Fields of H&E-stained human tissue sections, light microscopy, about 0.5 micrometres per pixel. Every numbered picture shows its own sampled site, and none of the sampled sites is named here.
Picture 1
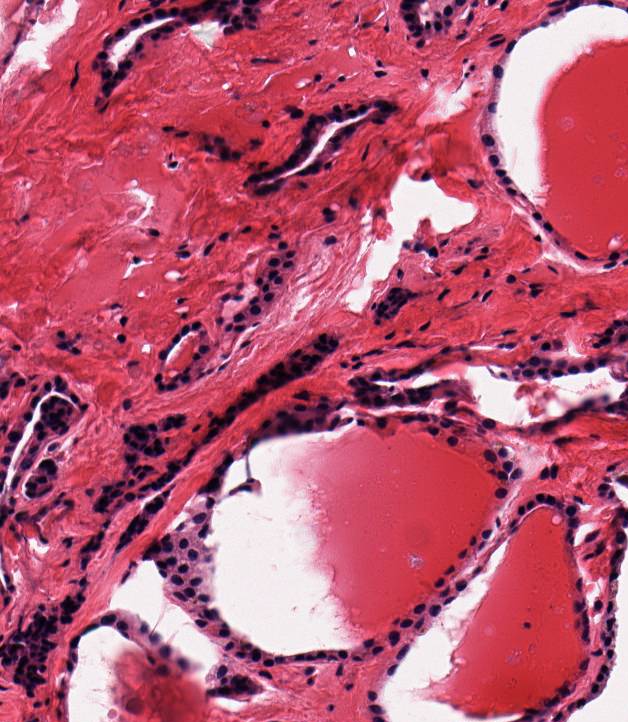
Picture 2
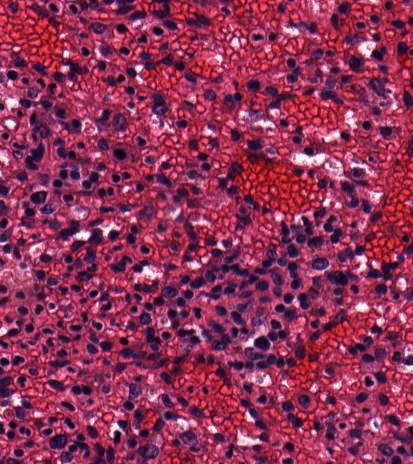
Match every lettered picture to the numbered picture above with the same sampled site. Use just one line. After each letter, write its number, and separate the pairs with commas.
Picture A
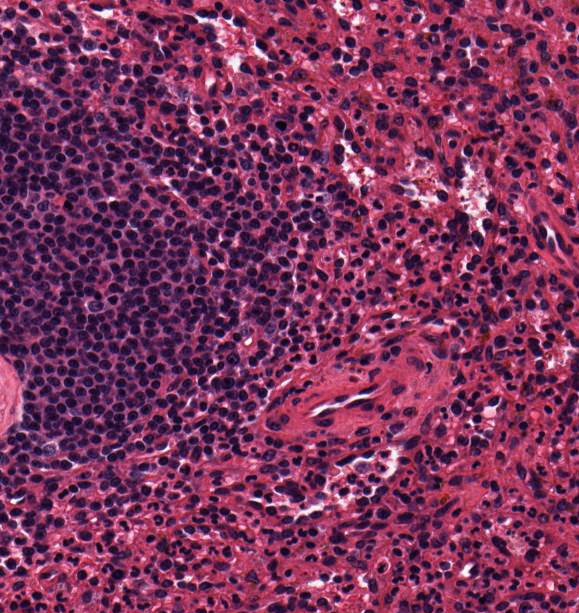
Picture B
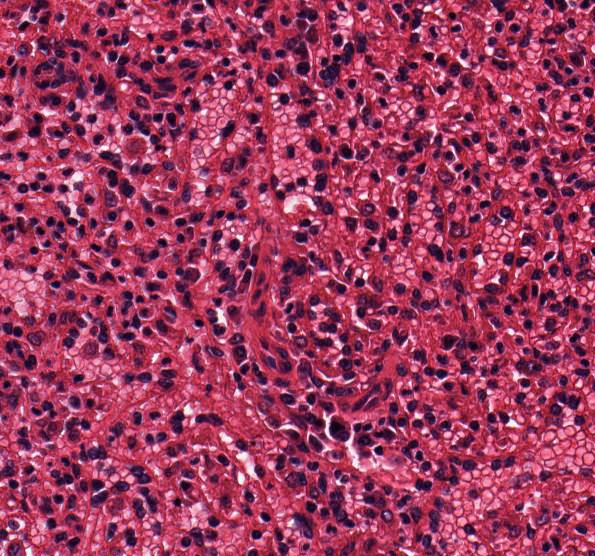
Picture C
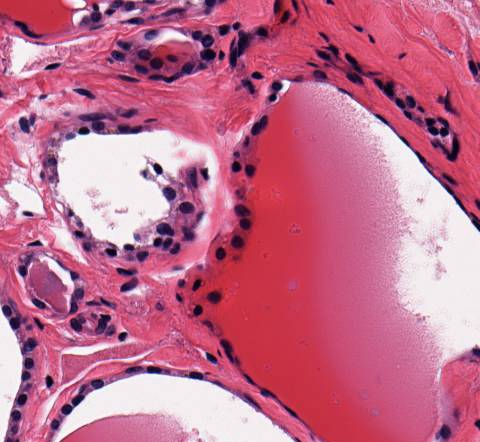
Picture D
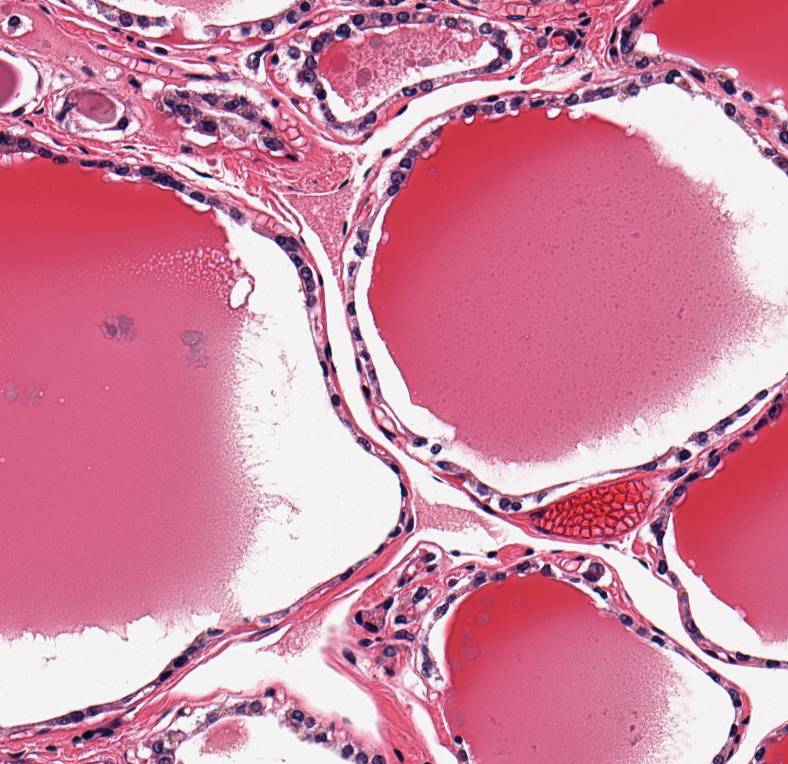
A 2, B 2, C 1, D 1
